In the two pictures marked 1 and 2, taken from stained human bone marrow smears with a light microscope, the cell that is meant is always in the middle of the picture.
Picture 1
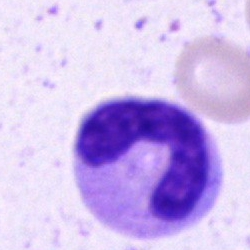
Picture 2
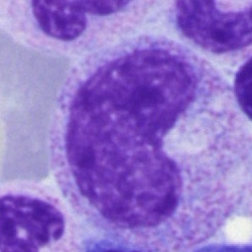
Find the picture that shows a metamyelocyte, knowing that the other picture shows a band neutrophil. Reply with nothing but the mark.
2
